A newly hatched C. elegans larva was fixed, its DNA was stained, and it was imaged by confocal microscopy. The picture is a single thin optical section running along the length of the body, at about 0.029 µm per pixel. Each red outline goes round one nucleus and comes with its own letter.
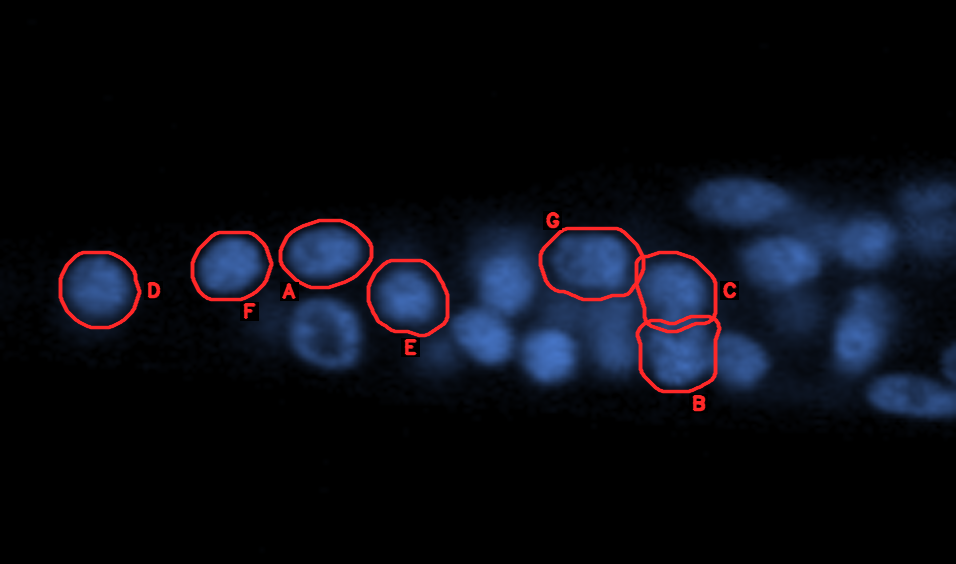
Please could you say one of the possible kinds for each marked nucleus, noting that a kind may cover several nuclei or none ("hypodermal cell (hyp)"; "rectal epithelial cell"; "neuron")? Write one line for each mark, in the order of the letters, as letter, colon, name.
A: hypodermal cell (hyp)
B: rectal epithelial cell
C: rectal epithelial cell
D: hypodermal cell (hyp)
E: neuron
F: hypodermal cell (hyp)
G: rectal epithelial cell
